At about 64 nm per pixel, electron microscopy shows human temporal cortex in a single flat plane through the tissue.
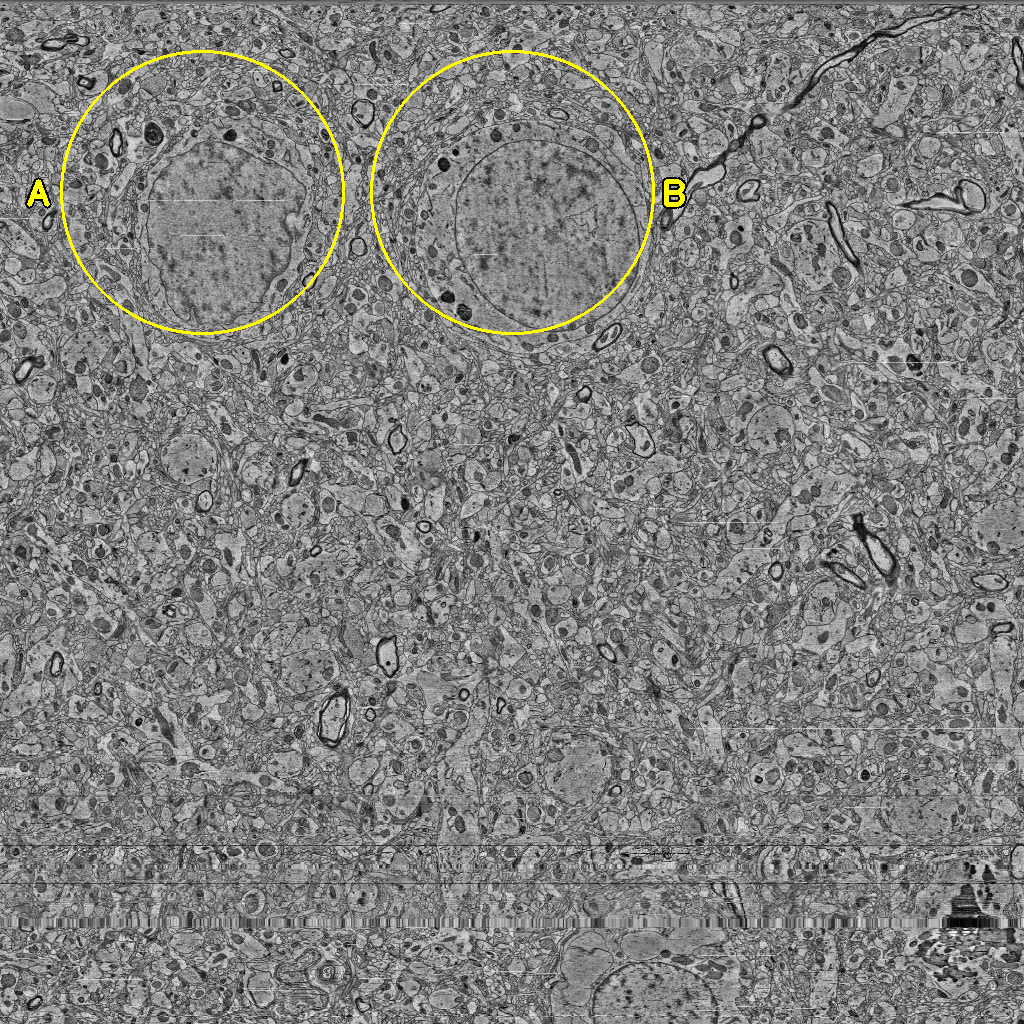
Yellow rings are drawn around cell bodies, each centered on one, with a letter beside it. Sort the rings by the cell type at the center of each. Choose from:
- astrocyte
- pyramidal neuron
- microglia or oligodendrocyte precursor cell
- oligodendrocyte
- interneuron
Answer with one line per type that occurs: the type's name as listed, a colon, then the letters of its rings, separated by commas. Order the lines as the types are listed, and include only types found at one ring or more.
pyramidal neuron: B
interneuron: A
